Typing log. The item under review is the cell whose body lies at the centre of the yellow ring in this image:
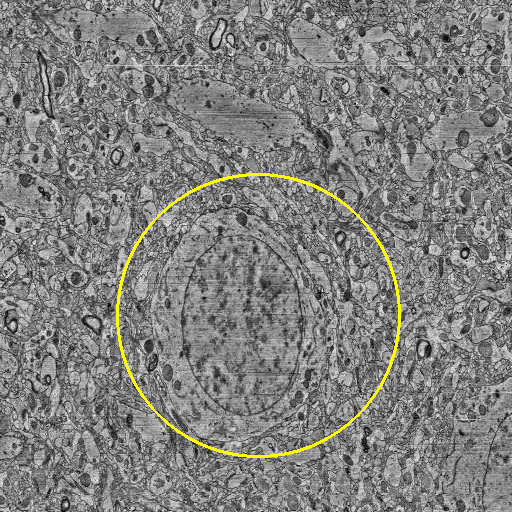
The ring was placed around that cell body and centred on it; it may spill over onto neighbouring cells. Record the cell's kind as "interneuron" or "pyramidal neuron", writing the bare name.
pyramidal neuron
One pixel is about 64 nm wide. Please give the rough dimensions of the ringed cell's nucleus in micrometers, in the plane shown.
About 12 by 8 micrometres; in this plane the nucleus is clearly longer than it is wide.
